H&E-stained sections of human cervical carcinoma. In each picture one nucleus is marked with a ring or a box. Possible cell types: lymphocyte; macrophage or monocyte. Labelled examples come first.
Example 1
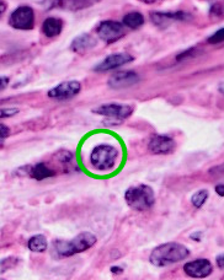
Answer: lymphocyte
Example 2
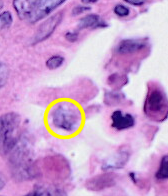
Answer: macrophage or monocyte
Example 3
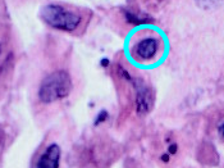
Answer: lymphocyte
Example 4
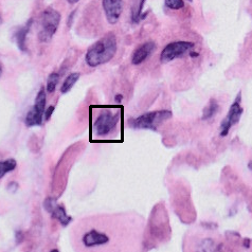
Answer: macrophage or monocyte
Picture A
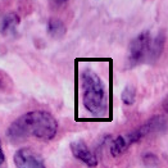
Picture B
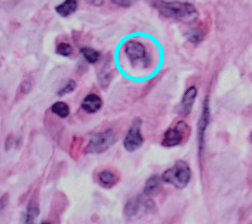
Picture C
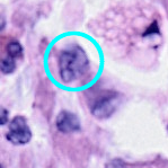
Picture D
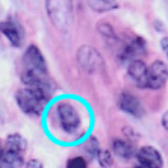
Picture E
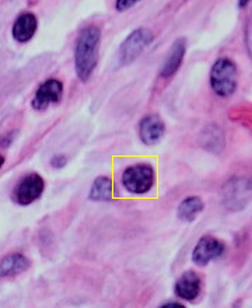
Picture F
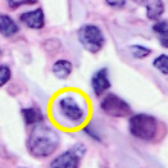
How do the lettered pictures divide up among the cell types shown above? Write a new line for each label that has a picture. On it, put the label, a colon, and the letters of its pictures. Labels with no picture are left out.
lymphocyte: D, E, F
macrophage or monocyte: A, B, C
